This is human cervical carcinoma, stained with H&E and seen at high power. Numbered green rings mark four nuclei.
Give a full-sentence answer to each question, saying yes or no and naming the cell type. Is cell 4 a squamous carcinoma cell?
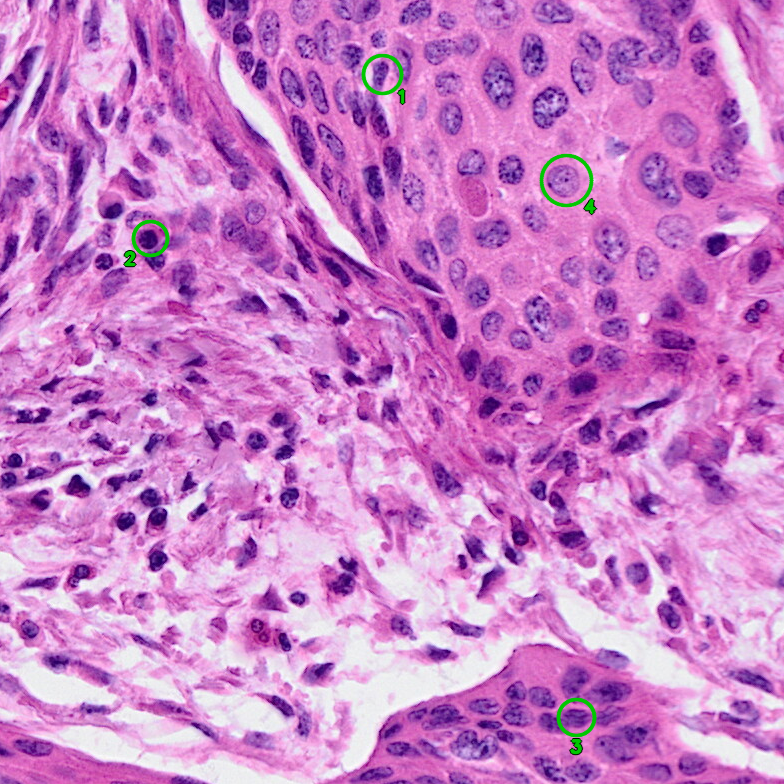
Yes, for number 4, the cell is a squamous carcinoma cell.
